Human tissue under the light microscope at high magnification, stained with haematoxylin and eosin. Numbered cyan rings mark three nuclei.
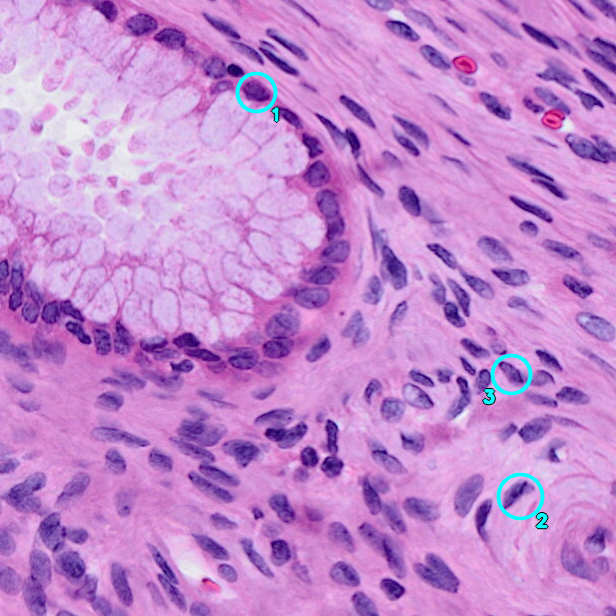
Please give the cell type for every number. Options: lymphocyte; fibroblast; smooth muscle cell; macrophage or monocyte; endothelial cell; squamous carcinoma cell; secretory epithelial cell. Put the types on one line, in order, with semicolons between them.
secretory epithelial cell; fibroblast; fibroblast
